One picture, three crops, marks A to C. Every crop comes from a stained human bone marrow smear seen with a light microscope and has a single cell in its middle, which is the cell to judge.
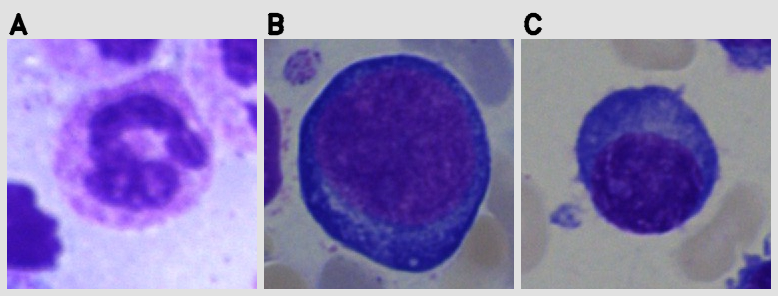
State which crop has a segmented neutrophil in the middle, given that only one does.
A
